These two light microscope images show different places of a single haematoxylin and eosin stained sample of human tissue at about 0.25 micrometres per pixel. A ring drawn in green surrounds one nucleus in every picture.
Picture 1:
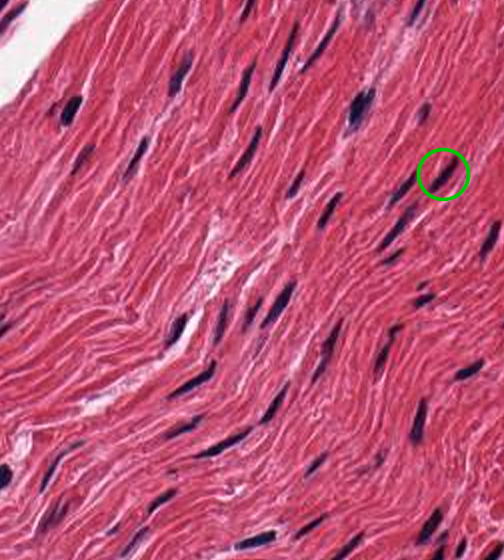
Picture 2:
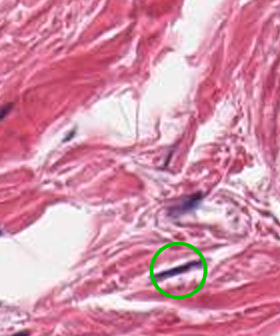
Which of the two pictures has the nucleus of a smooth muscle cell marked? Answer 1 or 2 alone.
1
